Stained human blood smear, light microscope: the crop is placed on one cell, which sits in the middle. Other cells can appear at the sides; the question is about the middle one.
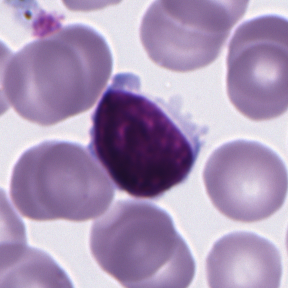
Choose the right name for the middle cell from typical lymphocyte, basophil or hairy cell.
typical lymphocyte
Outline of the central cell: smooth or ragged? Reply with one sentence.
Its outline is ragged or drawn out into projections, not smooth.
